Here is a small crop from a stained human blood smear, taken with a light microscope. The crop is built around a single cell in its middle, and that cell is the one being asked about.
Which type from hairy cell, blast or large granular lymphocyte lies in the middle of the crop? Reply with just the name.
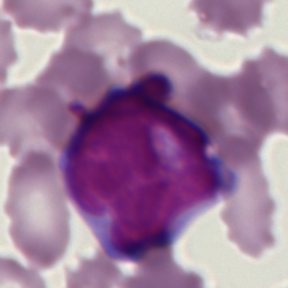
blast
